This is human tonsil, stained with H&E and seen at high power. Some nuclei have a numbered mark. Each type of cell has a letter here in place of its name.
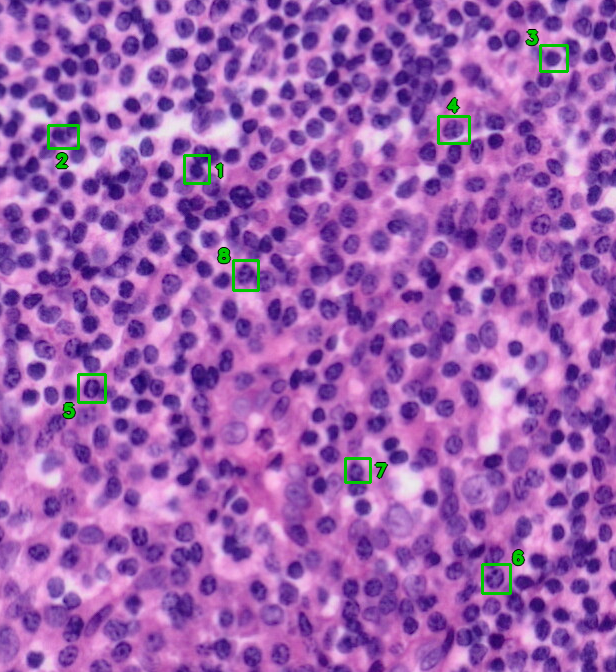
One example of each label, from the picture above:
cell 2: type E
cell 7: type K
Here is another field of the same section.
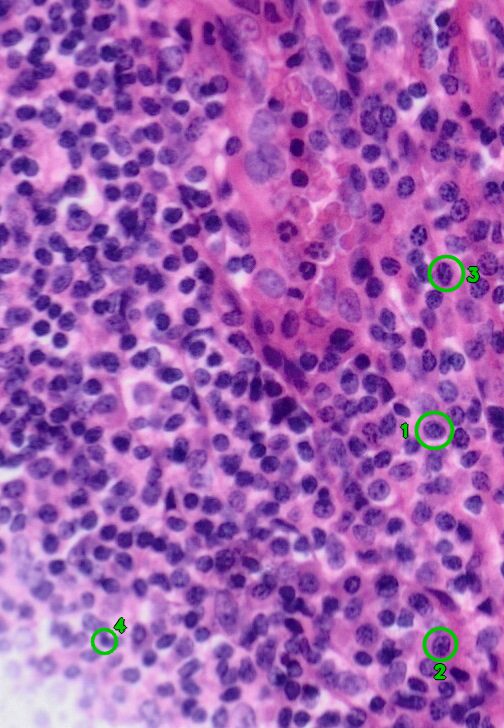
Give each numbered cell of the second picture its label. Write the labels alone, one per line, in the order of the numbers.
type K
type K
type K
type E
